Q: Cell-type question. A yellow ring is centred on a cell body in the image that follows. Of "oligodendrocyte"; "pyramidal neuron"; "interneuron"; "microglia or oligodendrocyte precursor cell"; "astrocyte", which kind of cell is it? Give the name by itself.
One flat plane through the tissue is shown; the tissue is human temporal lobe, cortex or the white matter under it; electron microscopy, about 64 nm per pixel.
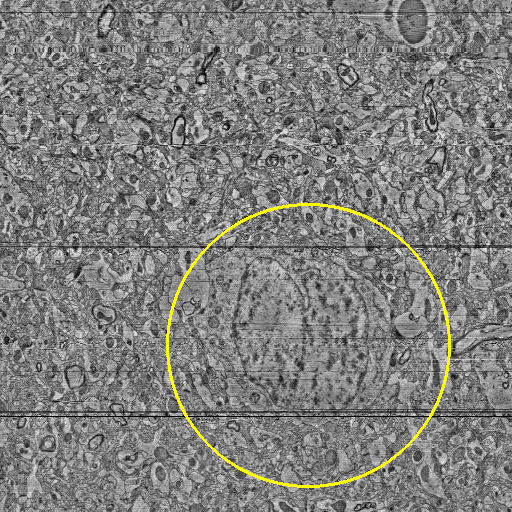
interneuron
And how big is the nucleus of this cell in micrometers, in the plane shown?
The nucleus of the ringed cell is approximately 11 by 8 micrometres in this plane.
